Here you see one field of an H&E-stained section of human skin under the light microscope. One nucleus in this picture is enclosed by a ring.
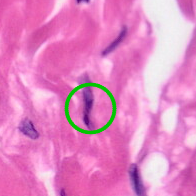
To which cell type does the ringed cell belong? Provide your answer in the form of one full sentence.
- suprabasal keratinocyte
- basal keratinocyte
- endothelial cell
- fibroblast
For cell typing purposes, the ringed cell is a fibroblast.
